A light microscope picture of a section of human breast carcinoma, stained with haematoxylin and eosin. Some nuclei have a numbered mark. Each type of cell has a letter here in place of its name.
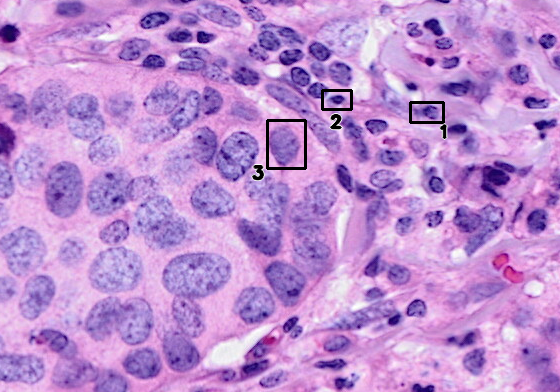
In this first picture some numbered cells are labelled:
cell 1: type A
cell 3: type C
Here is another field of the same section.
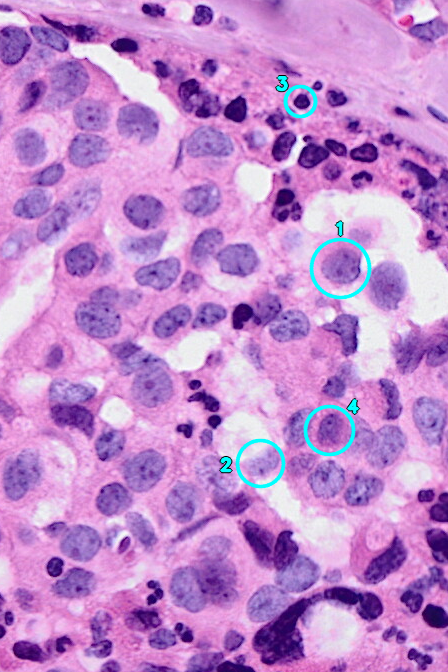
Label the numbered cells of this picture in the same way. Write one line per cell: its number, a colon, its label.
1: type C
2: type C
3: type A
4: type C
